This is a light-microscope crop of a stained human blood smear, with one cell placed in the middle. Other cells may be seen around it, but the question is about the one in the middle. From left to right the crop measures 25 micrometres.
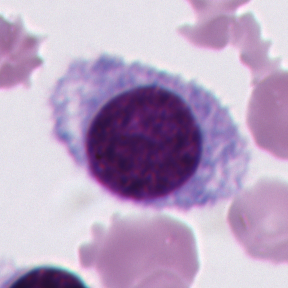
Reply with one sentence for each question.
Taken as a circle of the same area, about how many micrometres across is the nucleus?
The diameter of the nucleus comes to about 10 micrometres.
